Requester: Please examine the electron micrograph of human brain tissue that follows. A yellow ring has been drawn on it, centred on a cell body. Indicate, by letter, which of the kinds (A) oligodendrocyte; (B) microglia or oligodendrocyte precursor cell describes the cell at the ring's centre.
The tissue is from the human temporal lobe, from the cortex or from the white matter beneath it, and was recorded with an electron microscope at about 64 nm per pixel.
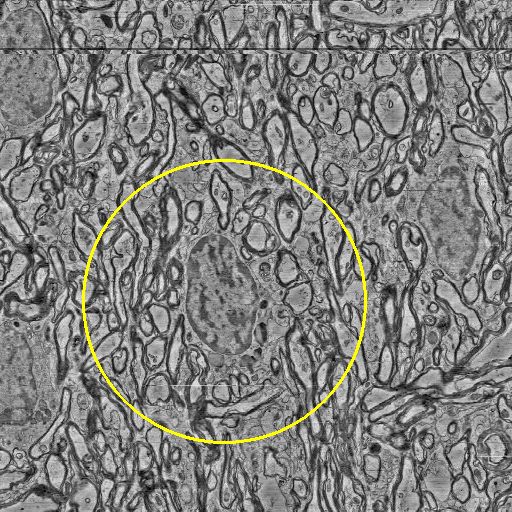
B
